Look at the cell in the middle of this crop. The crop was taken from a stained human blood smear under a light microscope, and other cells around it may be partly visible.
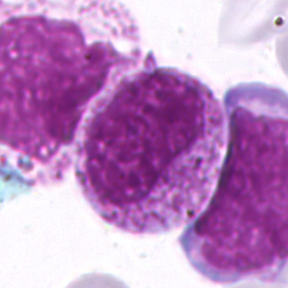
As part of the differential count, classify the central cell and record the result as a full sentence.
Present in the middle of the crop is a myelocyte.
